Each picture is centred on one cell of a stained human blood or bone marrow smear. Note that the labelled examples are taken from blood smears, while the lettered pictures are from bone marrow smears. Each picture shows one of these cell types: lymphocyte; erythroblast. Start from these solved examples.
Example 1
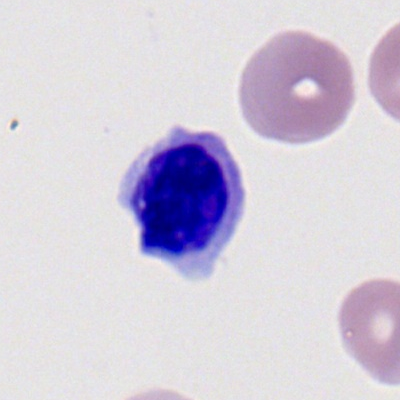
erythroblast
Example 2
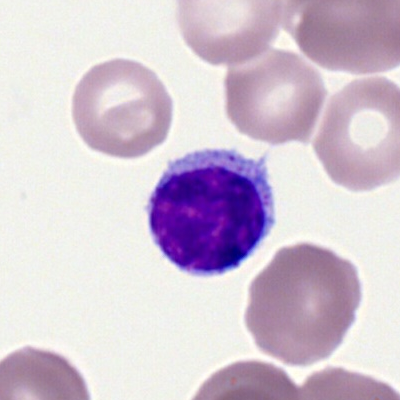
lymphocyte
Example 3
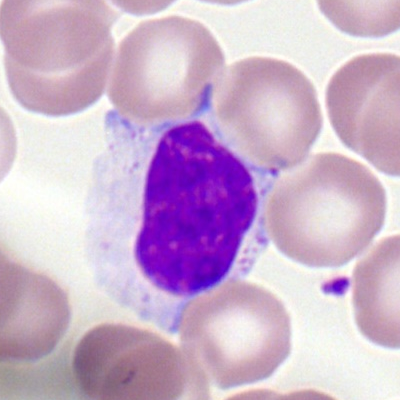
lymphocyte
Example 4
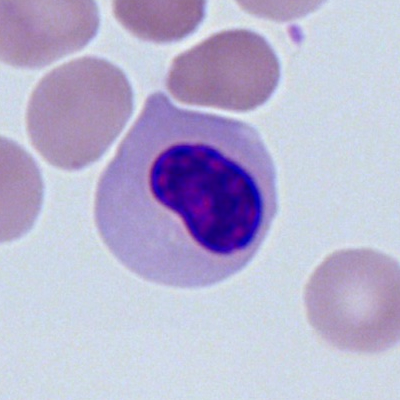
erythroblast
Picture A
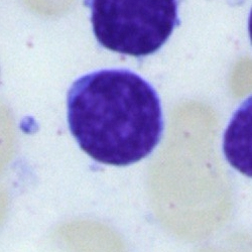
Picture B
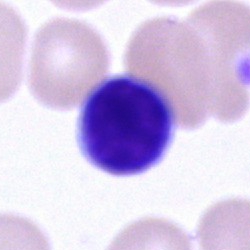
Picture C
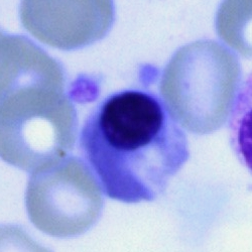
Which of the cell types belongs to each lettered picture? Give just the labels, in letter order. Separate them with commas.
lymphocyte, lymphocyte, erythroblast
